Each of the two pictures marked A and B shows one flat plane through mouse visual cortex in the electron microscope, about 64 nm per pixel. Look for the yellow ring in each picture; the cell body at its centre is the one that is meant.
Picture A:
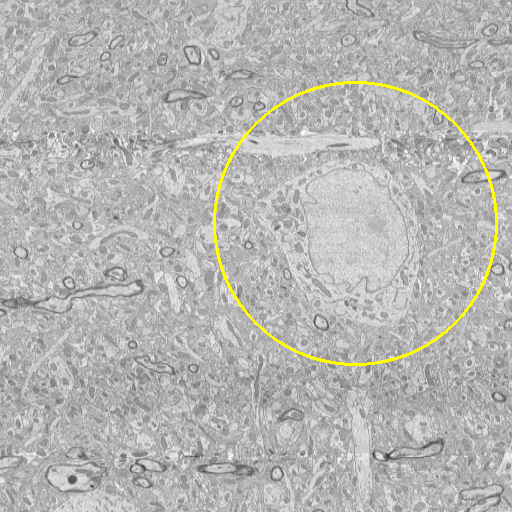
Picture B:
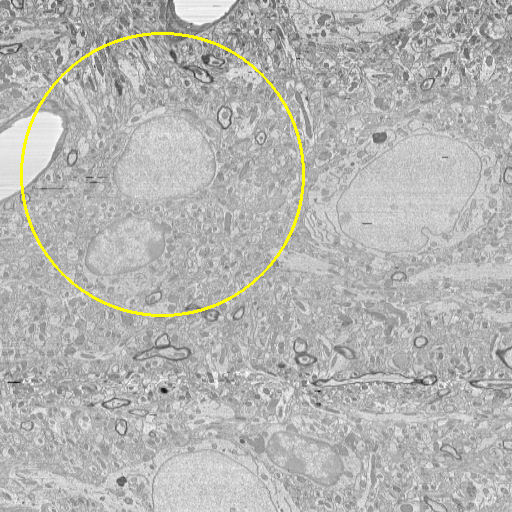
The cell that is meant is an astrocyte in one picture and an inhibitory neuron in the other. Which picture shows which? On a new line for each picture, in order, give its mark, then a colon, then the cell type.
A: inhibitory neuron
B: astrocyte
